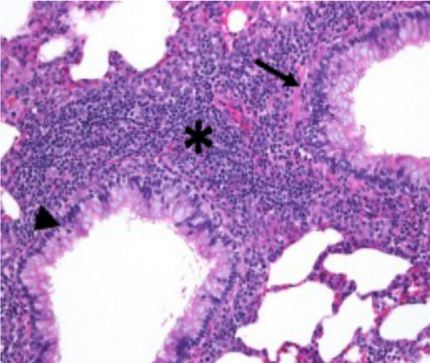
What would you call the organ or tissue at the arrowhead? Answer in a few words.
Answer: epithelium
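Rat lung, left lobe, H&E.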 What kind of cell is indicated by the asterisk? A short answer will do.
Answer: Mononuclear cells.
